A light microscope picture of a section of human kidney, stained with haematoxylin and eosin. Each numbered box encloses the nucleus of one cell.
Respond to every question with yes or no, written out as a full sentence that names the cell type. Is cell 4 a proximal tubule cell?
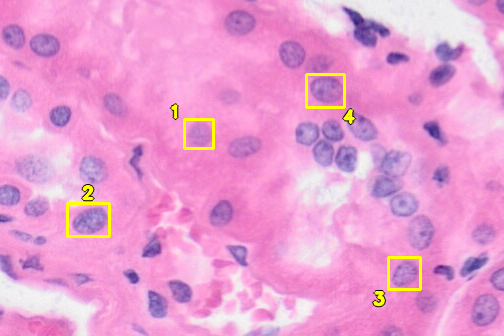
Yes, cell number 4 is classified as a proximal tubule cell.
